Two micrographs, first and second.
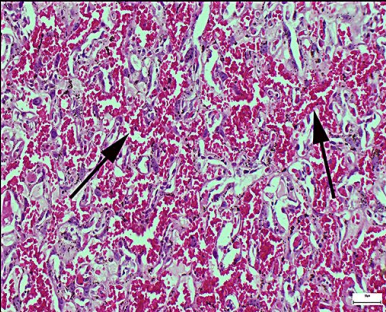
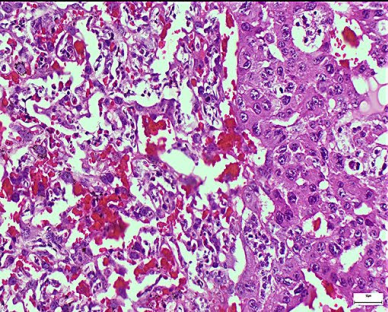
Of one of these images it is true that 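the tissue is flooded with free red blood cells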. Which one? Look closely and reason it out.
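The first image. First image: red blood cells fill most of the field between scattered strands of tissue.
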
